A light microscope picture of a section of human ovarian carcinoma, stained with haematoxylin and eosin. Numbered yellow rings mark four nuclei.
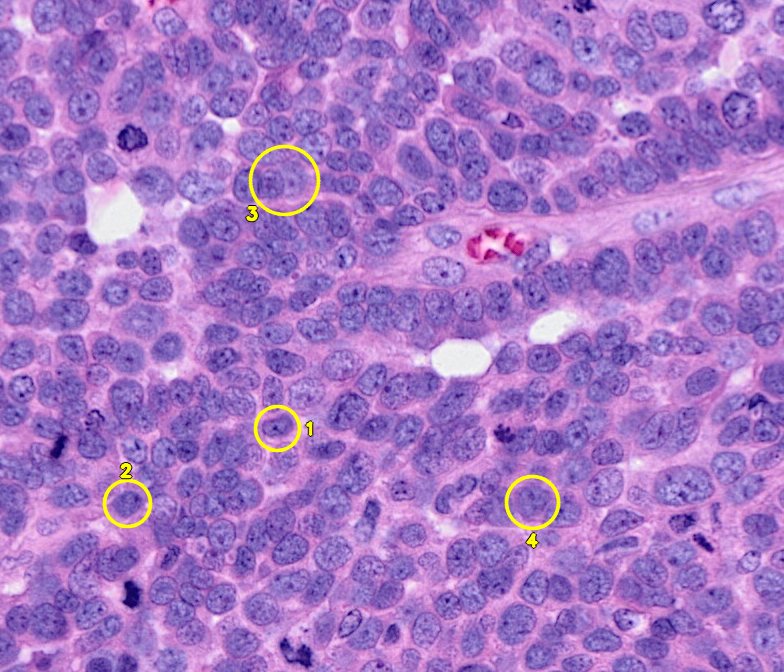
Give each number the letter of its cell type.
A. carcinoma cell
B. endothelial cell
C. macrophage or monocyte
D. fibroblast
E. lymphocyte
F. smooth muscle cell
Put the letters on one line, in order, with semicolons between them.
C; A; A; A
